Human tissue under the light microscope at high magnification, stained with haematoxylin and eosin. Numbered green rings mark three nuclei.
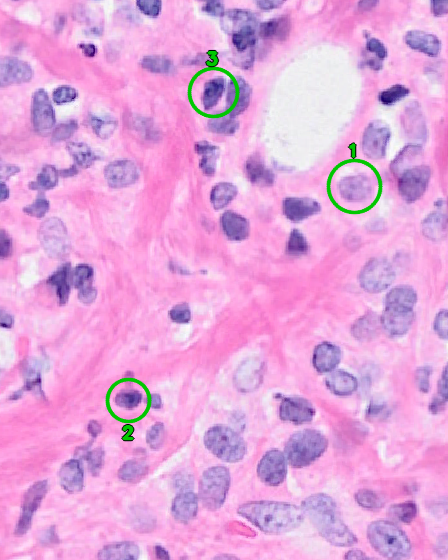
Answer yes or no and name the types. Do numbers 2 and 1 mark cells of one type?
No, cell 2 is a lymphocyte and cell 1 is a carcinoma cell.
